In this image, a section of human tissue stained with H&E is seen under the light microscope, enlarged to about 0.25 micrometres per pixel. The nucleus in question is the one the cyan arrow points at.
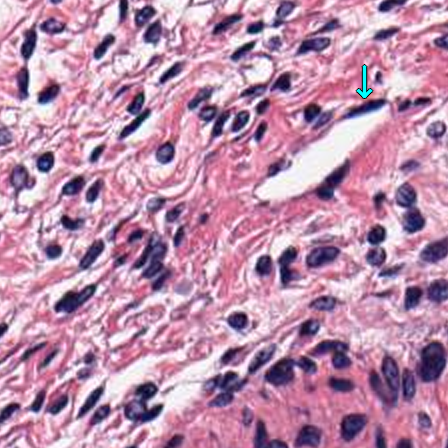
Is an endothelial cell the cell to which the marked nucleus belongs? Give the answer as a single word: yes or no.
yes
